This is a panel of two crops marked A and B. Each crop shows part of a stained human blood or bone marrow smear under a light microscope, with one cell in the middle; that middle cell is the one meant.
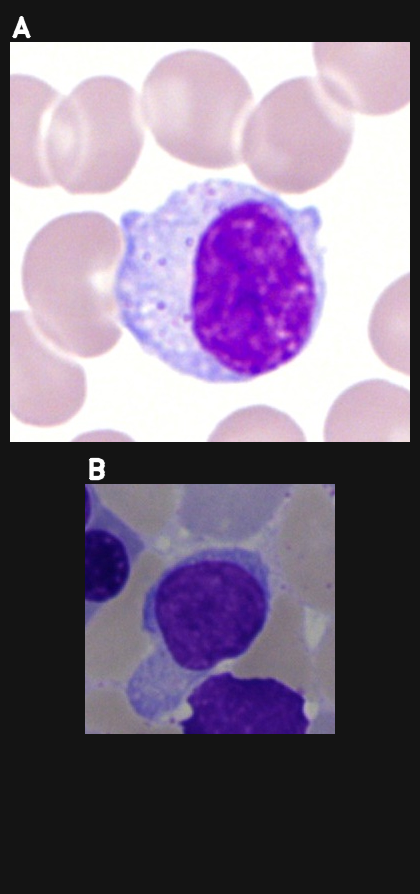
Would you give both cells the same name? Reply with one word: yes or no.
yes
